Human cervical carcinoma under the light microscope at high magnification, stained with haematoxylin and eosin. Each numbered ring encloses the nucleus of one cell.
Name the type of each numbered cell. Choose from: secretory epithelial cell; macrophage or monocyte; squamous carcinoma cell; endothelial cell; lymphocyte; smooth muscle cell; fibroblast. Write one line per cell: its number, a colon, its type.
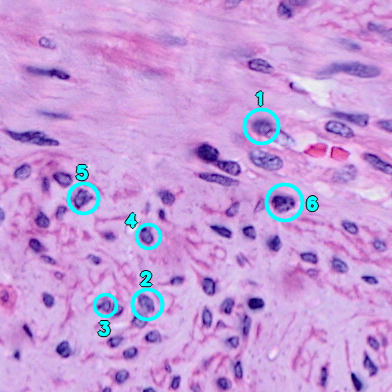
1: endothelial cell
2: smooth muscle cell
3: smooth muscle cell
4: smooth muscle cell
5: smooth muscle cell
6: lymphocyte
